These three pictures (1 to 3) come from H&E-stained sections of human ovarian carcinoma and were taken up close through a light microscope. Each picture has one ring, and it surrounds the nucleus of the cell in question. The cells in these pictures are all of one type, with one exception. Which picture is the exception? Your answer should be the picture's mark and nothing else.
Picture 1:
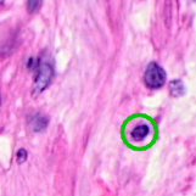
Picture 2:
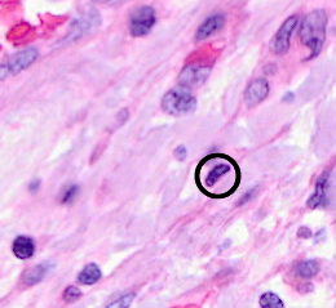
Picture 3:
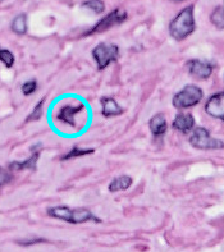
3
